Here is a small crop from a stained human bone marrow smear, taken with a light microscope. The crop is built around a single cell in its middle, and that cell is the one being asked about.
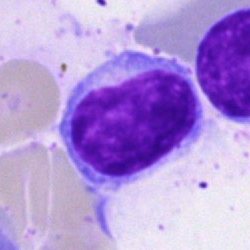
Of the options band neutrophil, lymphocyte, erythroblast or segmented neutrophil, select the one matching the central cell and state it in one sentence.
The crop's centre is taken up by a lymphocyte.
